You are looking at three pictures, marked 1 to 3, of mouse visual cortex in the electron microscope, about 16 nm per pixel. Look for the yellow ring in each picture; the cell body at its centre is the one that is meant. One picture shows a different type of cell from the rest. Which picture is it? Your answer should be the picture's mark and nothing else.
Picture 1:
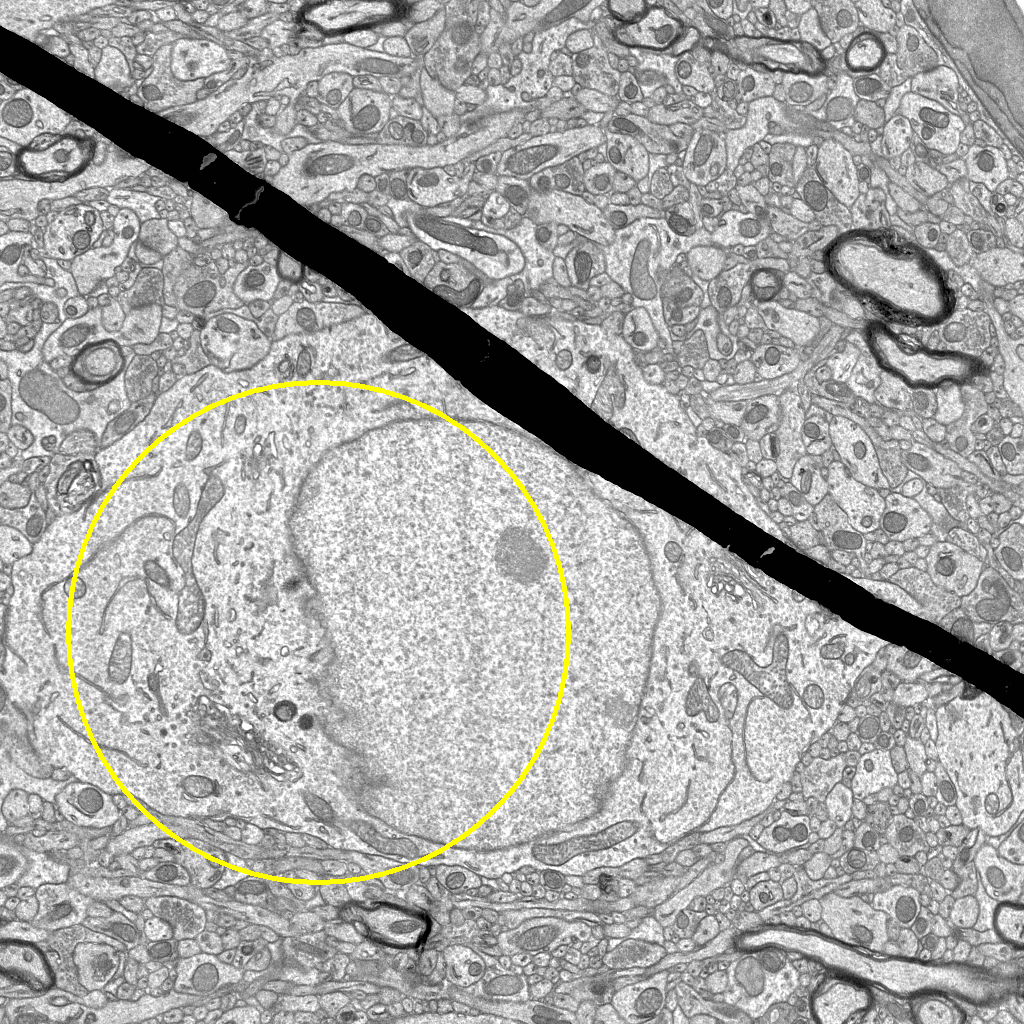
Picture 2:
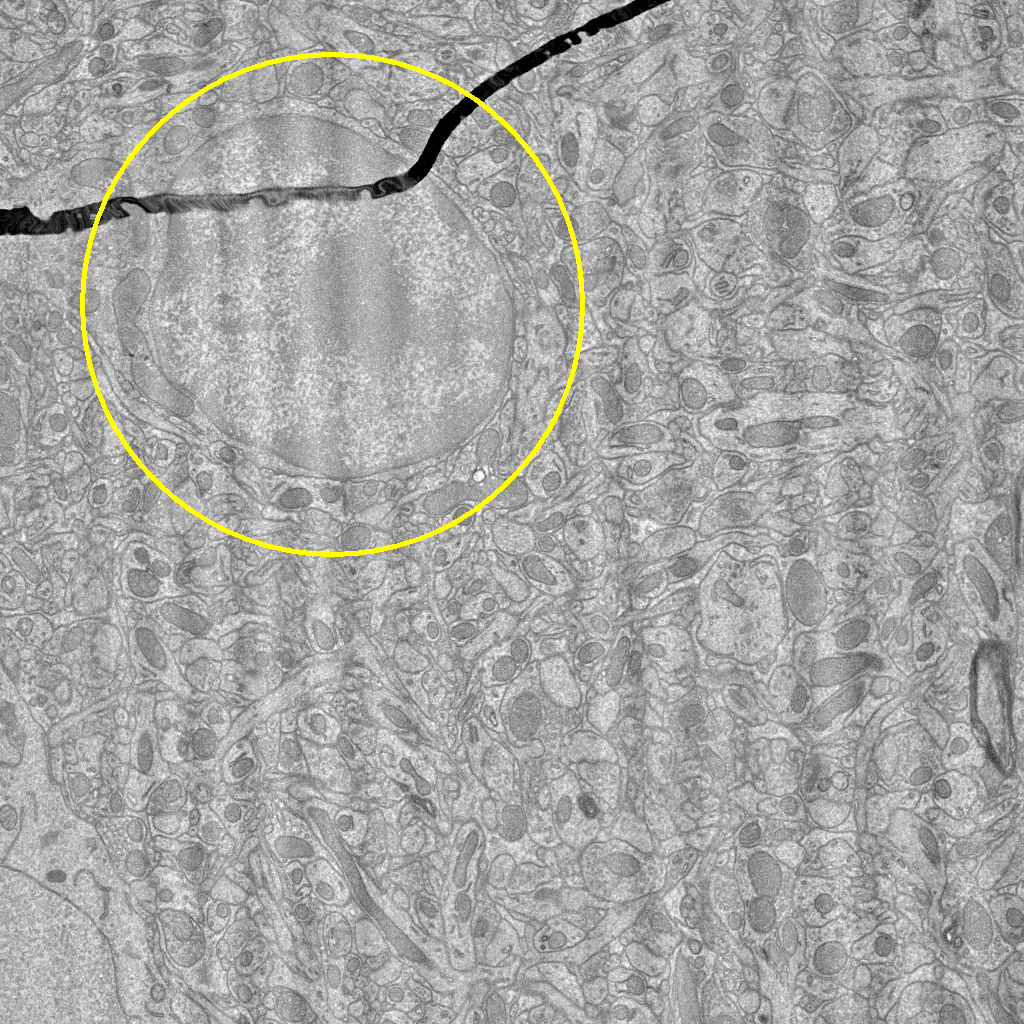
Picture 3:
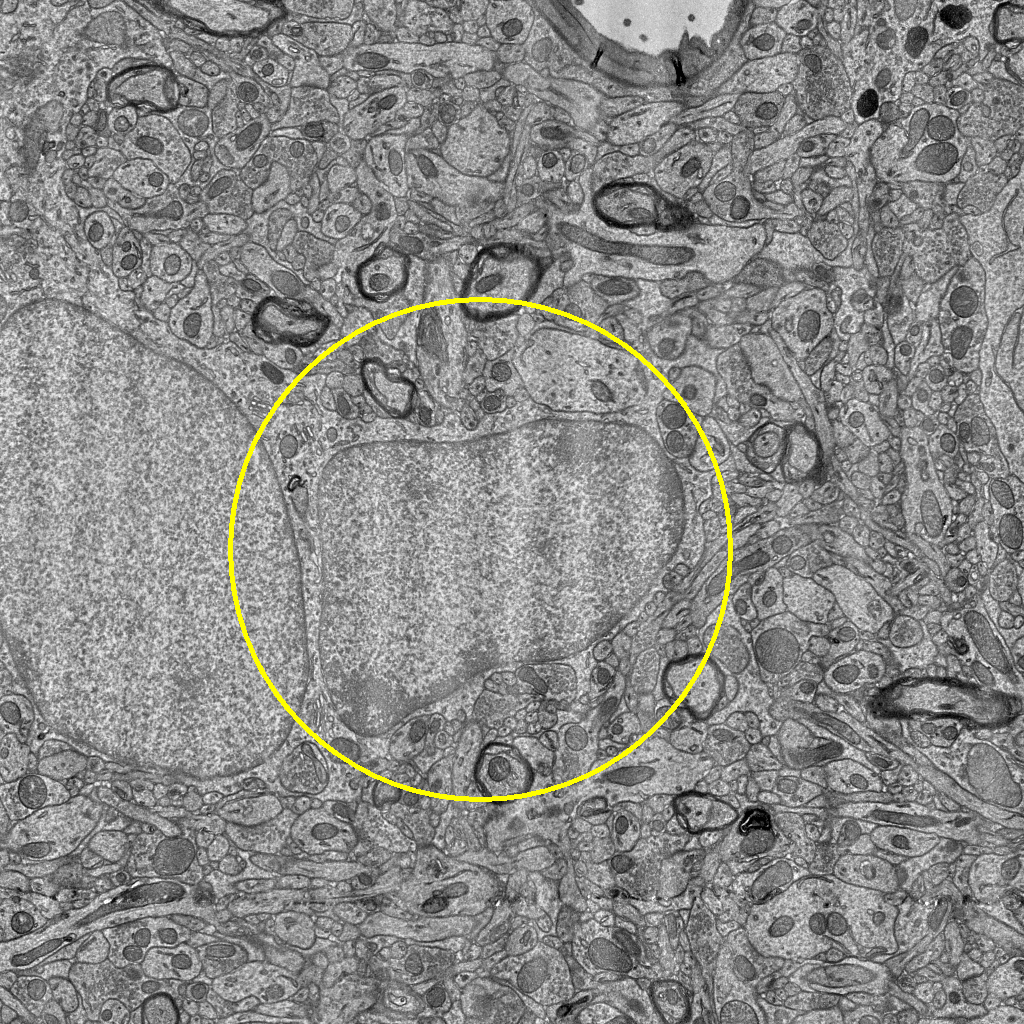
3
